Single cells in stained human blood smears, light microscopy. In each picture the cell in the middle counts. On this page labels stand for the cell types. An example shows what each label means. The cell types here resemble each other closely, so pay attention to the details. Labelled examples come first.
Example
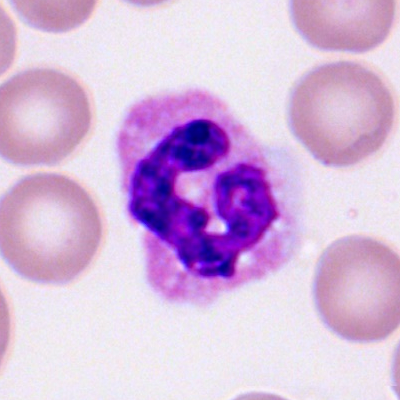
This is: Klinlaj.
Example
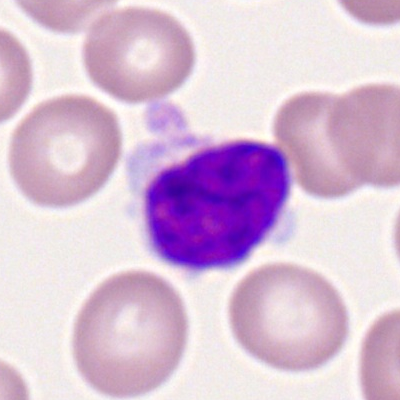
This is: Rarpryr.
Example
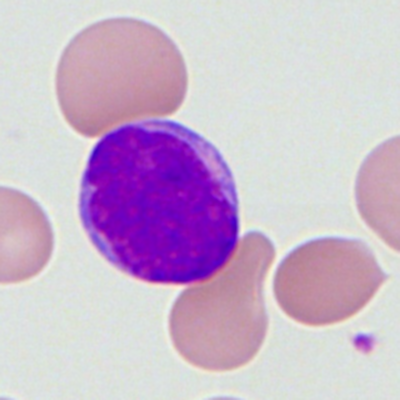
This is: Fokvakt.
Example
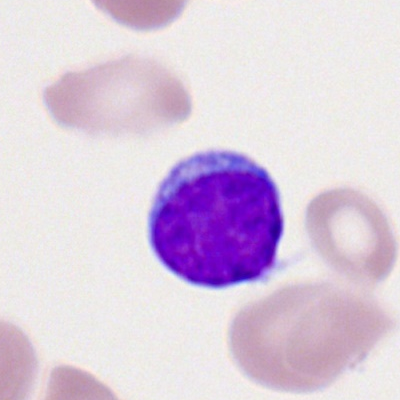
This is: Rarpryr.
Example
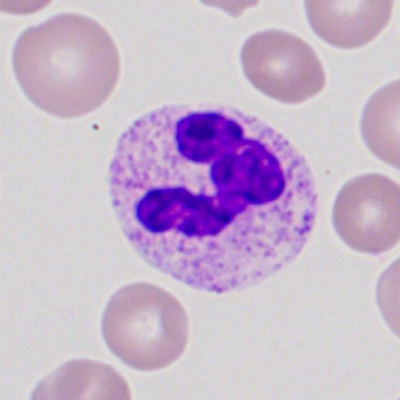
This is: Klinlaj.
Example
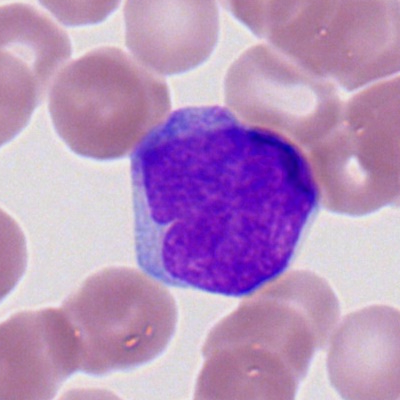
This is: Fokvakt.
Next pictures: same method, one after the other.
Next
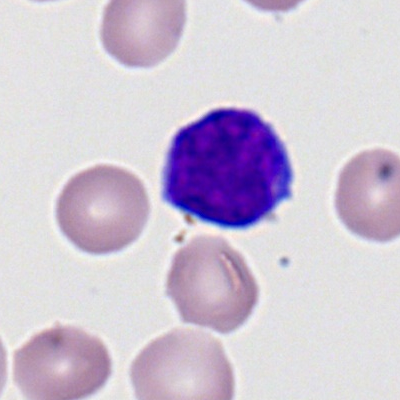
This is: Rarpryr.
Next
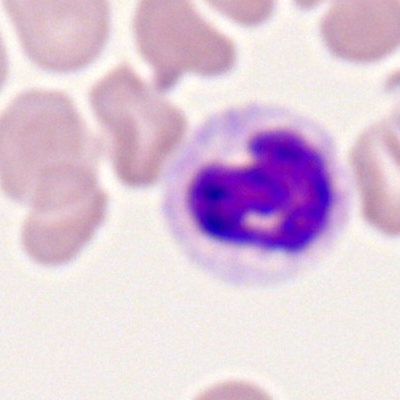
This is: Klinlaj.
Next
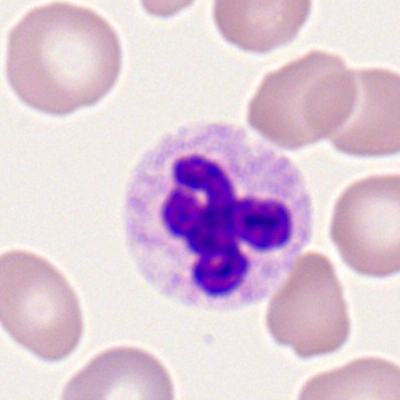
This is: Klinlaj.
